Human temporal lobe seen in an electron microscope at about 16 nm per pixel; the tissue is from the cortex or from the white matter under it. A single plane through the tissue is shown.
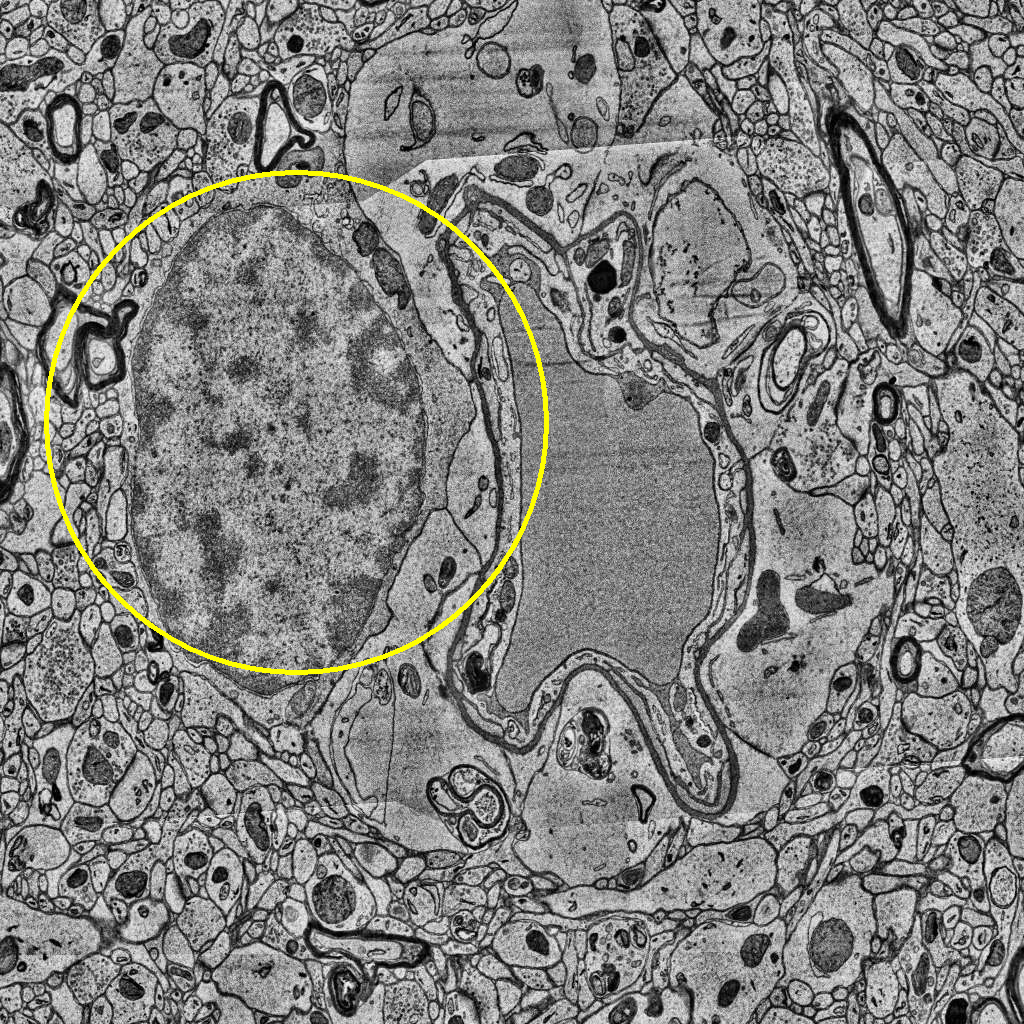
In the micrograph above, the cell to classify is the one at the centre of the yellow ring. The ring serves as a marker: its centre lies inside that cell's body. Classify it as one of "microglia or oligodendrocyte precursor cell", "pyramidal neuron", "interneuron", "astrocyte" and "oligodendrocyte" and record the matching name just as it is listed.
oligodendrocyte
